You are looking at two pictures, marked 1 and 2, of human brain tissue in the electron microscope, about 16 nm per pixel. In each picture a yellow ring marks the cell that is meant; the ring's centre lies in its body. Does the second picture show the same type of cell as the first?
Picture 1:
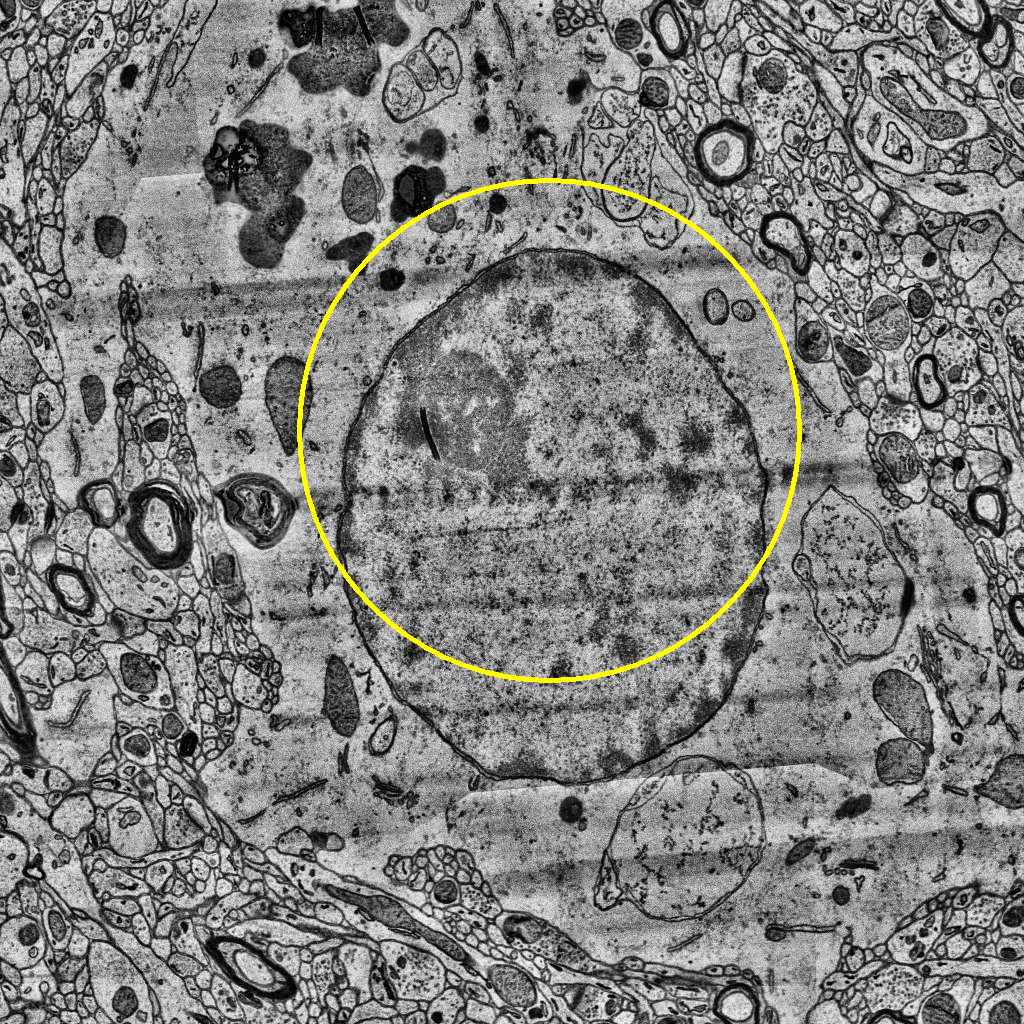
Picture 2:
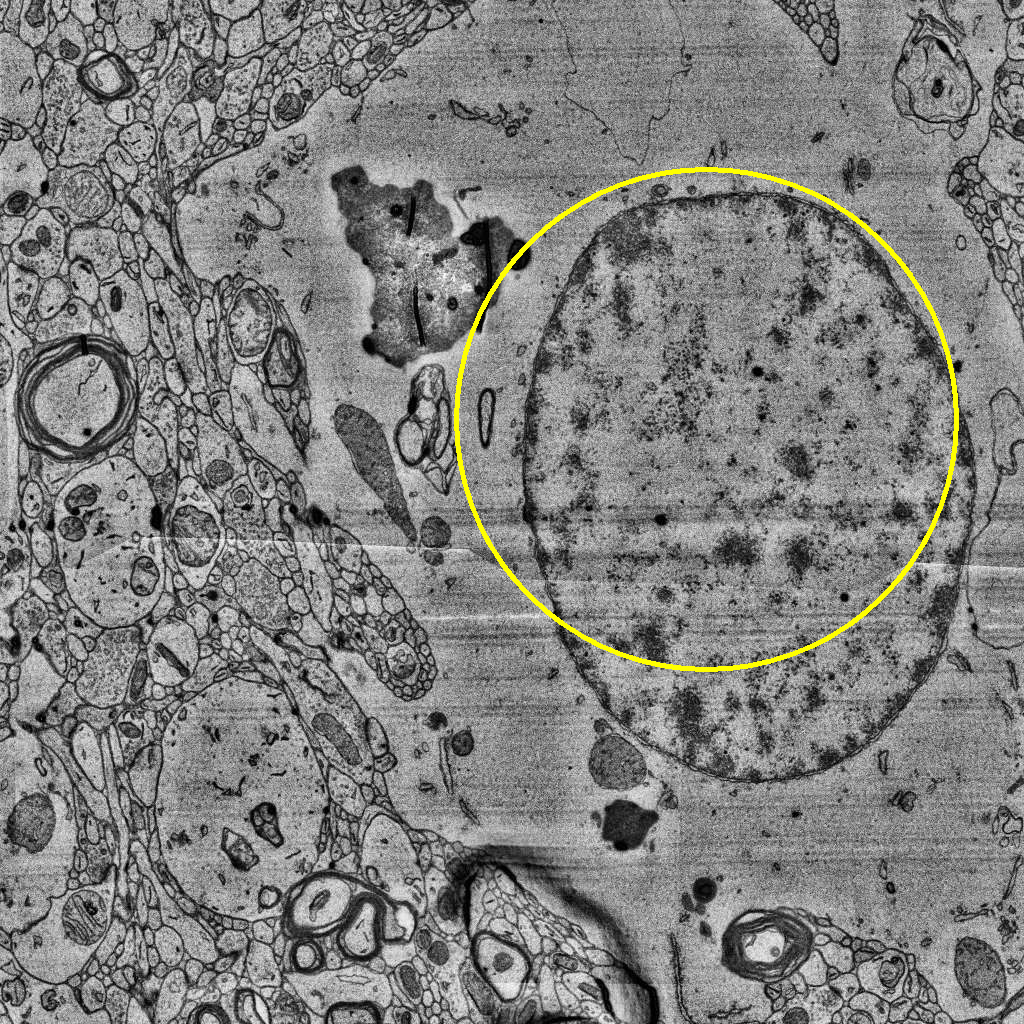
Yes, both are astrocytes.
